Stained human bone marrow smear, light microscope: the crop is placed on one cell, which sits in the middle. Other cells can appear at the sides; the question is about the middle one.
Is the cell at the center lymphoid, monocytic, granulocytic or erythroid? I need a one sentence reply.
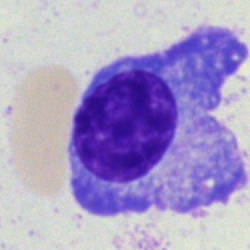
Originating in the lymphoid lineage is the cell at the center of the crop.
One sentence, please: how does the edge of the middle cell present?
A ragged or projecting edge replaces the smooth outline in this cell.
